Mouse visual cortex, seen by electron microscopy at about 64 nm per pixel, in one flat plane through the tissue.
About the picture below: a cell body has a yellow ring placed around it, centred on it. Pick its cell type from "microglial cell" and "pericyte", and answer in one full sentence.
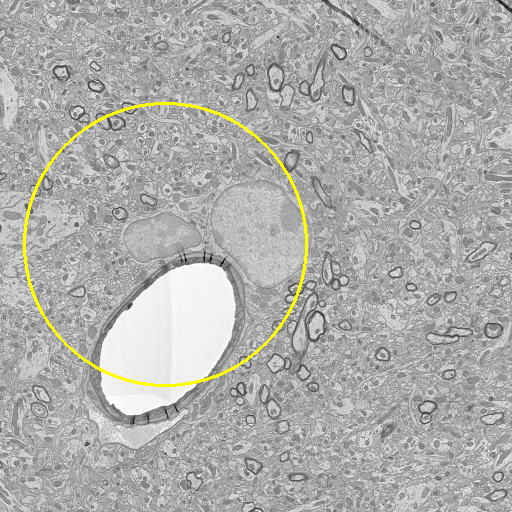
In the picture, a microglial cell is the cell sitting at the centre of the yellow ring.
